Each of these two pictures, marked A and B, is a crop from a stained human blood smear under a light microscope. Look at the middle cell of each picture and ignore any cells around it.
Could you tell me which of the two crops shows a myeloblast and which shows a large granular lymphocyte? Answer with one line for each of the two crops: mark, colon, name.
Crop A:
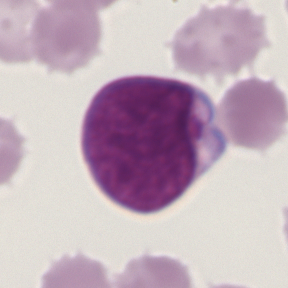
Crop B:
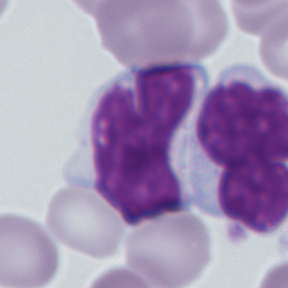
A: myeloblast
B: large granular lymphocyte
